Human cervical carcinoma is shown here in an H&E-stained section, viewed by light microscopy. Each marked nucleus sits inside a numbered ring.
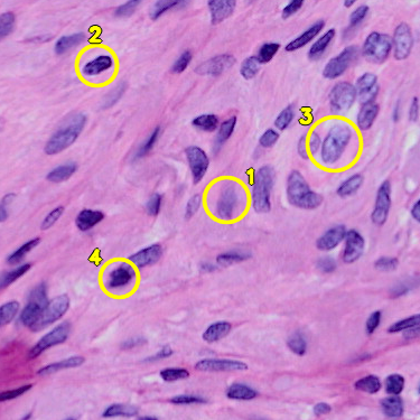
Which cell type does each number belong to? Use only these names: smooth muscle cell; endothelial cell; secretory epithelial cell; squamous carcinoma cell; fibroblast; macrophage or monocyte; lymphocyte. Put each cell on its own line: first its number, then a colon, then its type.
1: fibroblast
2: lymphocyte
3: endothelial cell
4: lymphocyte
